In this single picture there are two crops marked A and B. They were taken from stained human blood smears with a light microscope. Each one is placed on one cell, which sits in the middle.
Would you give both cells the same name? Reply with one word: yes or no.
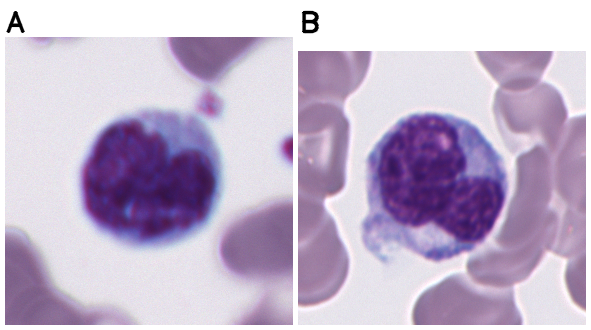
yes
